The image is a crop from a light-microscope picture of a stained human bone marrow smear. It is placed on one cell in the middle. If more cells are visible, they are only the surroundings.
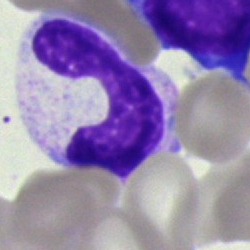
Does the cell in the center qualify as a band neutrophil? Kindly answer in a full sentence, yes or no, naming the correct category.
Yes, the cell at the centre of this crop is identified as a band neutrophil.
